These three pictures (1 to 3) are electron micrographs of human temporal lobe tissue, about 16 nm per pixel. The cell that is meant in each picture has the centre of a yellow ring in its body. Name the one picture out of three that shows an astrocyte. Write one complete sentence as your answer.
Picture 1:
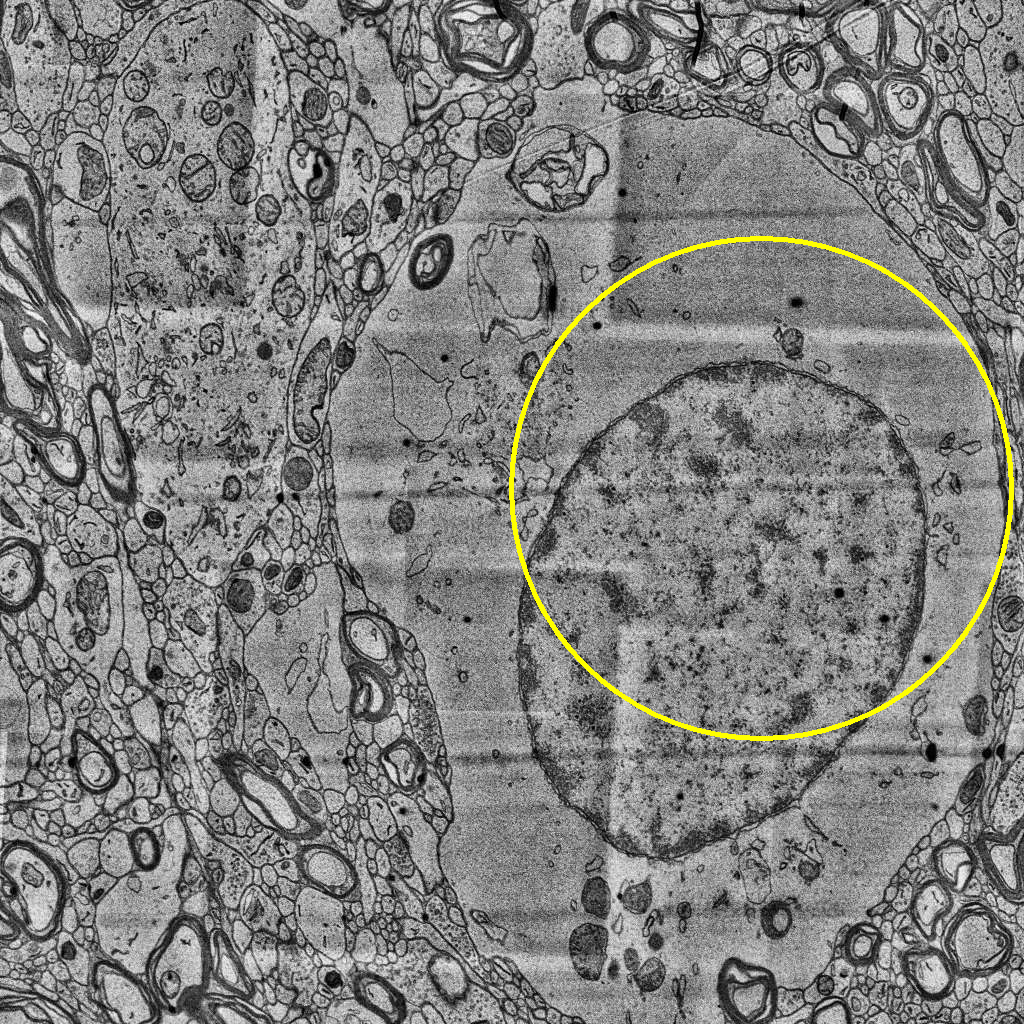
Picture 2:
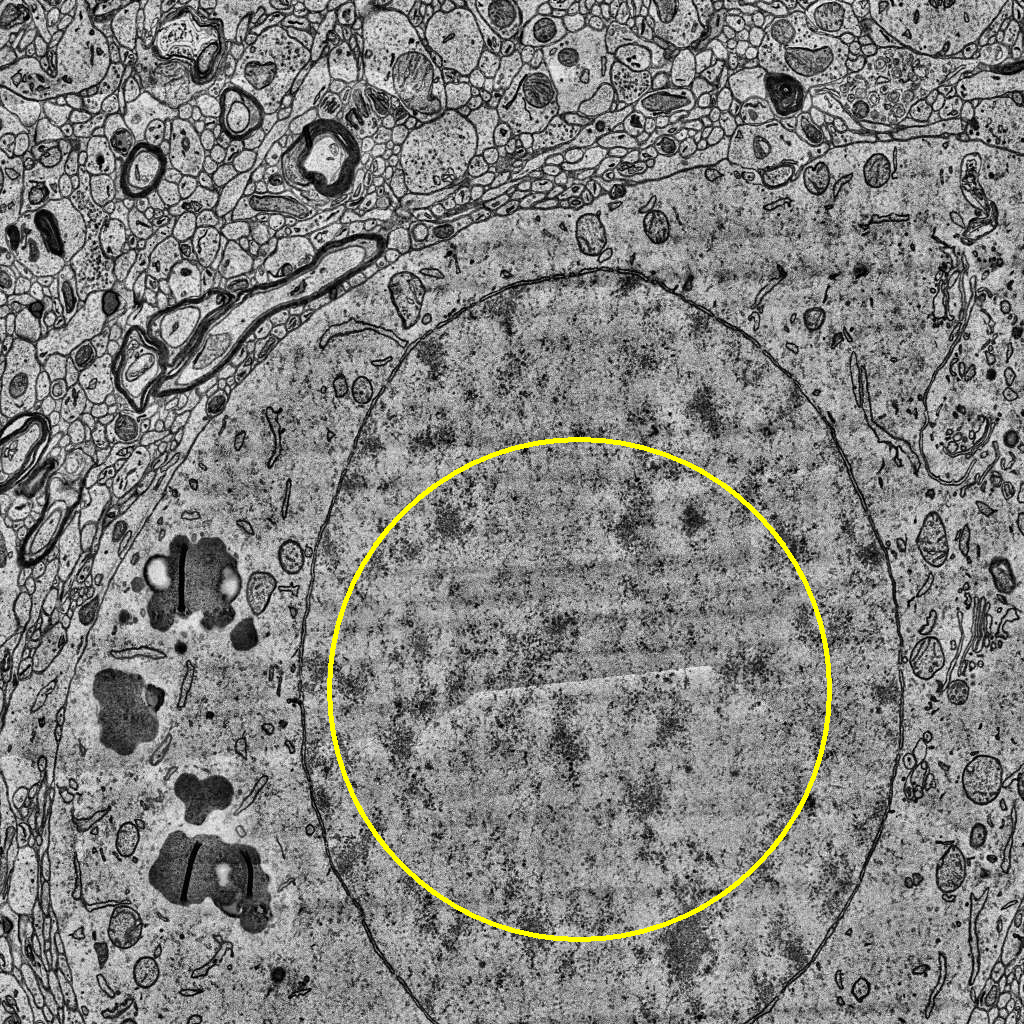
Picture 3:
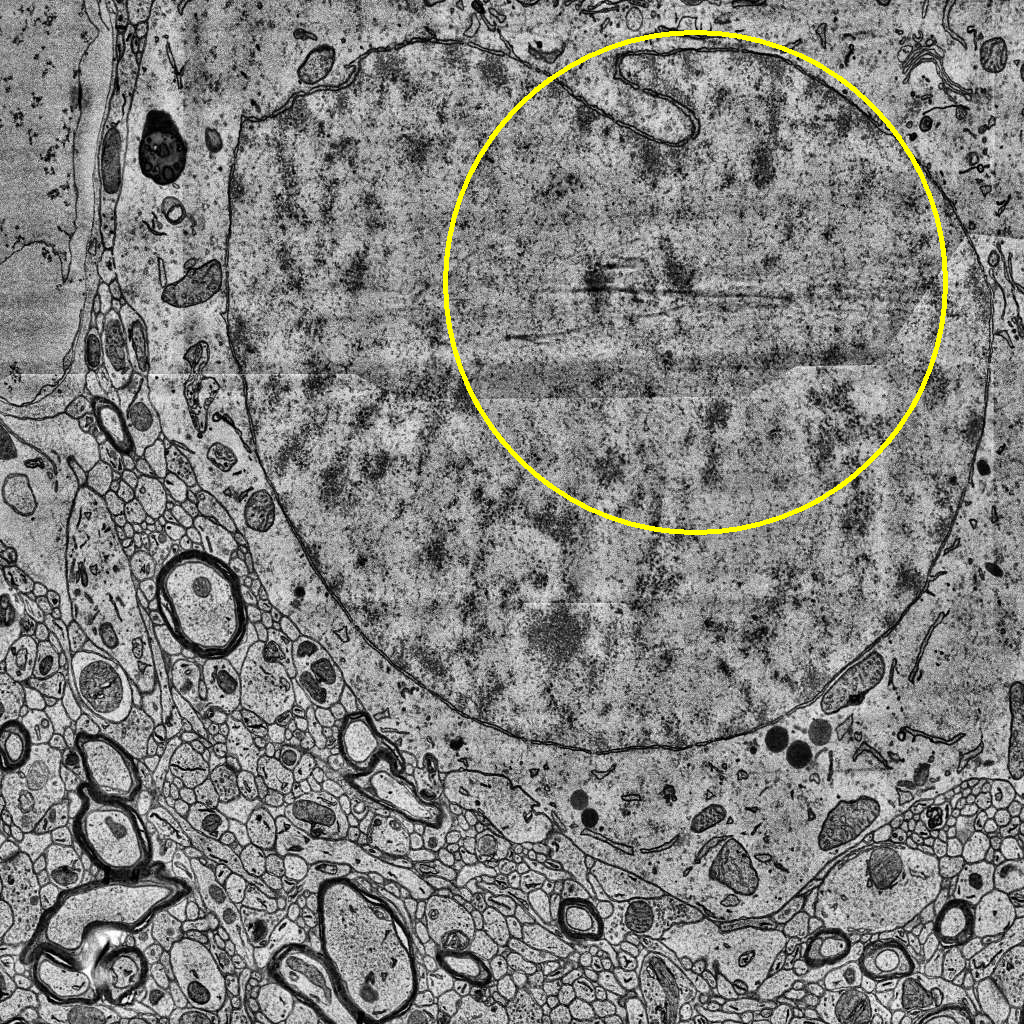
The astrocyte is the one in picture 1.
